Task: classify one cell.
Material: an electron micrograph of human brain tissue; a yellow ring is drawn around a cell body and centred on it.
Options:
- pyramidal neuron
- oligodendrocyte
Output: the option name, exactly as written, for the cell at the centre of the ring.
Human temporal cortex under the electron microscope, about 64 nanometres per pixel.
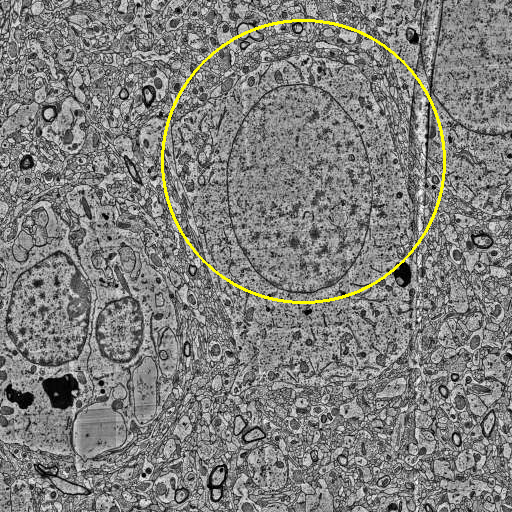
pyramidal neuron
